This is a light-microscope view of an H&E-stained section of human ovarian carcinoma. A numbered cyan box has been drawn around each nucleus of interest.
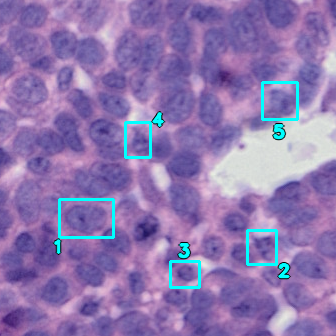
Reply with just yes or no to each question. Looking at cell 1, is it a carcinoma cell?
yes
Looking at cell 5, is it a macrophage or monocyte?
no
